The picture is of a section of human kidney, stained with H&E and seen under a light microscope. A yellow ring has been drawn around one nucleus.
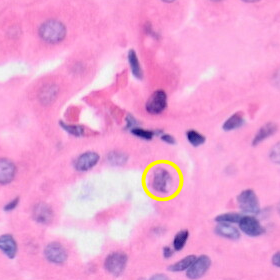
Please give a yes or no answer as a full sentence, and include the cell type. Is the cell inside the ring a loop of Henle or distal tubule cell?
Yes, in this section the cell inside the ring is a loop of Henle or distal tubule cell.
